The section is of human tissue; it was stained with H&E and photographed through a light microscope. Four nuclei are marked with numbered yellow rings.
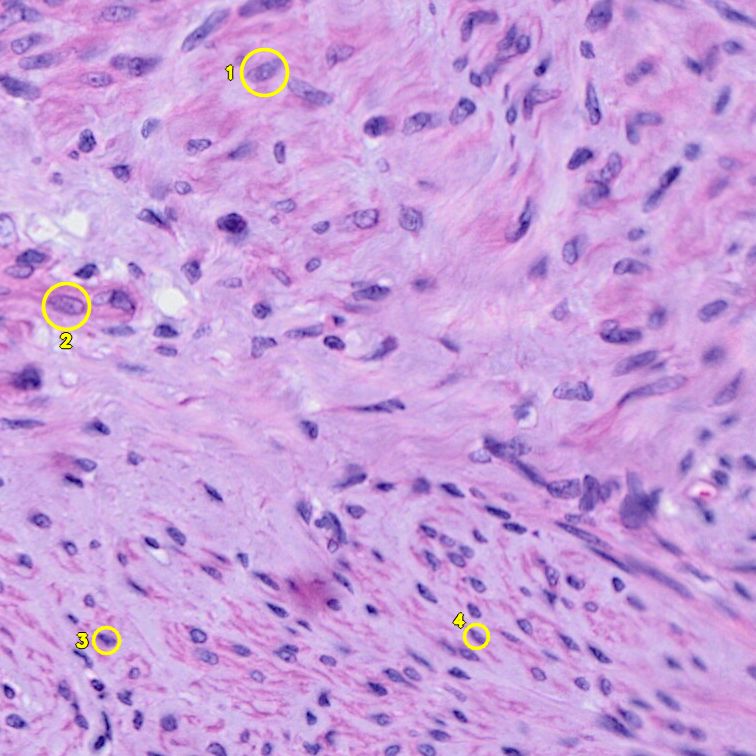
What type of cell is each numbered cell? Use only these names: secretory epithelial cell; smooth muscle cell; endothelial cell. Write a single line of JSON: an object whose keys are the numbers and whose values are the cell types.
{"1": "smooth muscle cell", "2": "endothelial cell", "3": "smooth muscle cell", "4": "smooth muscle cell"}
